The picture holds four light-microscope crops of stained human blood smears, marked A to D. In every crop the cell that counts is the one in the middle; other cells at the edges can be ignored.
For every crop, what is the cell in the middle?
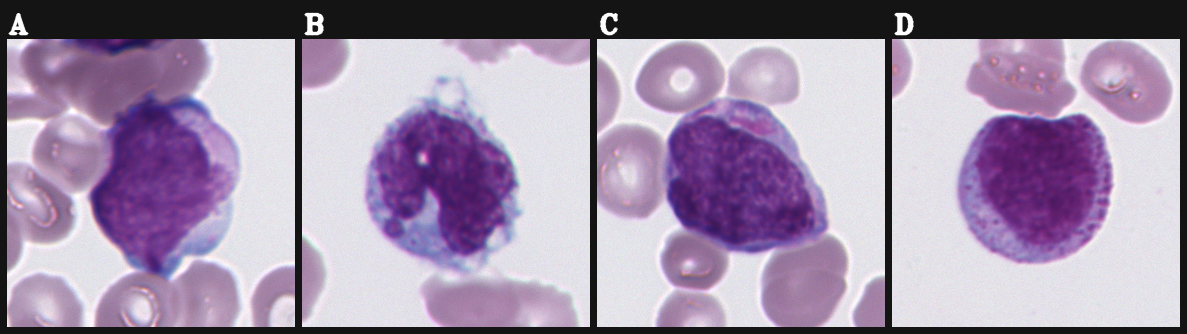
A: atypical promyelocyte
B: monocyte
C: atypical promyelocyte
D: myelocyte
